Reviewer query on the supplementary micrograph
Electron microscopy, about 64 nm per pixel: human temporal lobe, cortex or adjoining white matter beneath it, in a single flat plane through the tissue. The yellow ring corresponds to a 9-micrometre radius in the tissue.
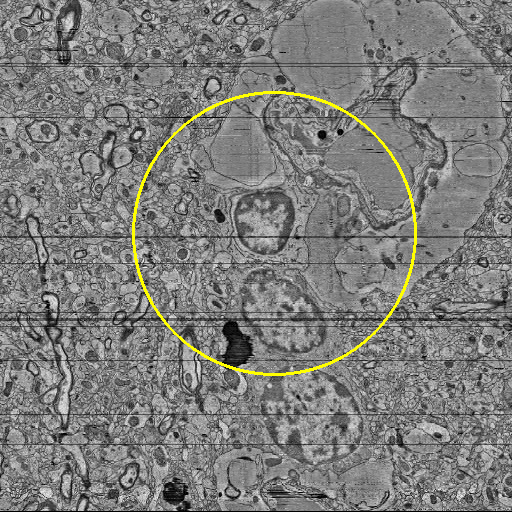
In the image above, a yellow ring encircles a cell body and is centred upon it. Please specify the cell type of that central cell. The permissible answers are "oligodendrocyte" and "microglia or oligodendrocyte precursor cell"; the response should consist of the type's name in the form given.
microglia or oligodendrocyte precursor cell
